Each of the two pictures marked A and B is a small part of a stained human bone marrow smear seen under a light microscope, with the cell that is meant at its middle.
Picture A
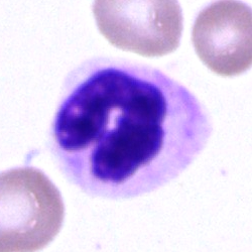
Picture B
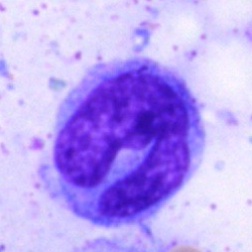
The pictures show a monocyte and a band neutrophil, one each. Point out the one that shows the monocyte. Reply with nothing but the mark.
B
